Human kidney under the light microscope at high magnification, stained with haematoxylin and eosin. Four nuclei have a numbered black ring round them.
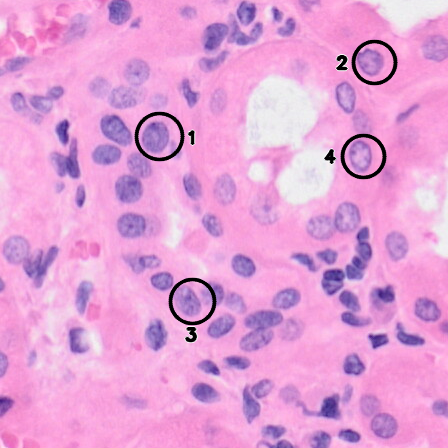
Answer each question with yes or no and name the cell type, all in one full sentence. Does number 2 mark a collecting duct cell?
No, number 2 points to a proximal tubule cell and not to a collecting duct cell.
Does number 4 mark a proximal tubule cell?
Yes, the cell labelled with number 4 is a proximal tubule cell.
